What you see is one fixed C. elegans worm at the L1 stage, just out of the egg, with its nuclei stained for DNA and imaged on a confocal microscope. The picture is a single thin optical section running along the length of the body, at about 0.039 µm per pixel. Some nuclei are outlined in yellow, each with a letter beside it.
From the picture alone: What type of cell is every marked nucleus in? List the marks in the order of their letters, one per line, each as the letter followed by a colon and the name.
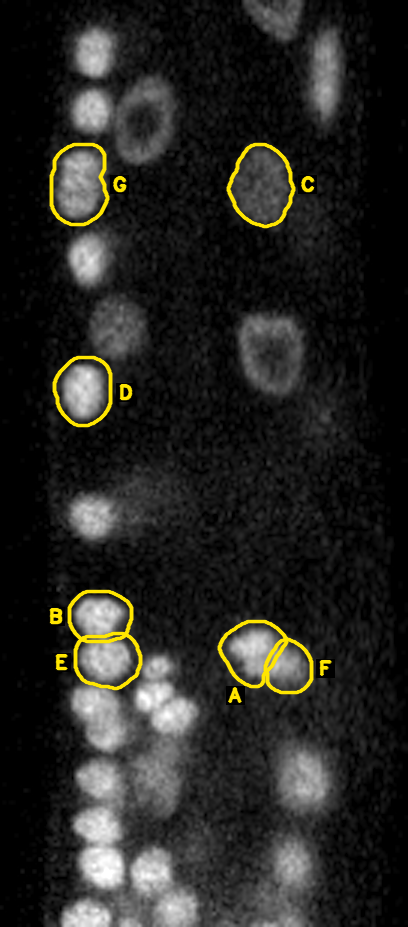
A: valve cell of the gut
B: neuron
C: intestinal cell
D: neuron
E: neuron
F: valve cell of the gut
G: P cell (ventral epidermal blast cell)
